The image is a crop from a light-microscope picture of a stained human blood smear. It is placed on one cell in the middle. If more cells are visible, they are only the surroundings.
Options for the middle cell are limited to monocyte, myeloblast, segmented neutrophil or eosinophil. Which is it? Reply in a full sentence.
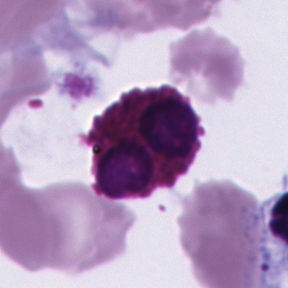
The cell found in the middle of this crop is an eosinophil.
